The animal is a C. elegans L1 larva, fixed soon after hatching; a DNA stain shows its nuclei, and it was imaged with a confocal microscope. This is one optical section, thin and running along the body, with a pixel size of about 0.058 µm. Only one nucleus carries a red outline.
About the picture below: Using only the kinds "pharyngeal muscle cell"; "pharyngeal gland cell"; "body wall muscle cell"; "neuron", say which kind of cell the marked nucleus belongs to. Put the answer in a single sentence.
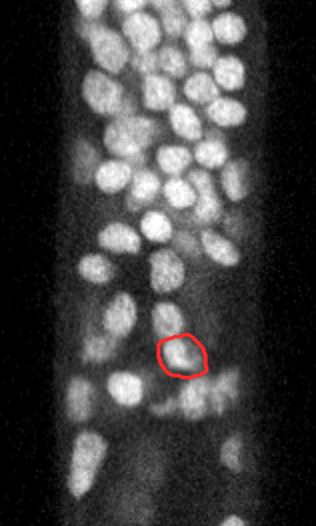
The marked nucleus is that of a pharyngeal gland cell.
